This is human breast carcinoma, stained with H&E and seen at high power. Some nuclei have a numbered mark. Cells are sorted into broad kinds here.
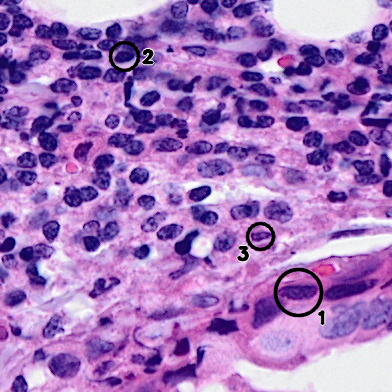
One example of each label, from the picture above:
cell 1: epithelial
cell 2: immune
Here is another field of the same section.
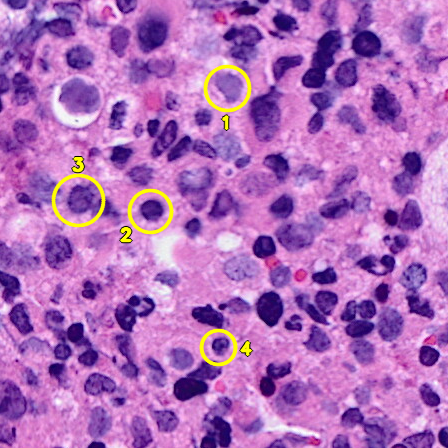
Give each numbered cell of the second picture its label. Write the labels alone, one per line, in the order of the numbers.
epithelial
epithelial
epithelial
immune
